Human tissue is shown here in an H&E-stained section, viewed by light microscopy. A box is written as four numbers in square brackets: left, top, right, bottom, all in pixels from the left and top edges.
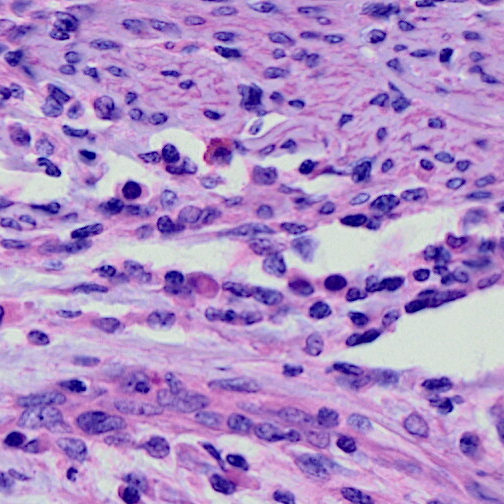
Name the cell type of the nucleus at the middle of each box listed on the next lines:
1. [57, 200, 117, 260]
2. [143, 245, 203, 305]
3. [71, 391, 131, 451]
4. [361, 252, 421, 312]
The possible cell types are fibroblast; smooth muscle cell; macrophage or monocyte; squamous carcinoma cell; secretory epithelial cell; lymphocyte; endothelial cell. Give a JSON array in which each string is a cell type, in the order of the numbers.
["lymphocyte", "lymphocyte", "endothelial cell", "lymphocyte"]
